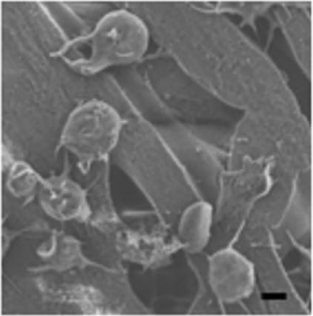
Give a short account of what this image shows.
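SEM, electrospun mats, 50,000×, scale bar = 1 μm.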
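Several small rounded bodies, each only a couple of micrometres across, lie on and between smooth cylindrical fibers of a layered mesh. Many of them send out thin spiky projections that reach onto the fiber surfaces, and some appear partly flattened with a raised central region.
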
